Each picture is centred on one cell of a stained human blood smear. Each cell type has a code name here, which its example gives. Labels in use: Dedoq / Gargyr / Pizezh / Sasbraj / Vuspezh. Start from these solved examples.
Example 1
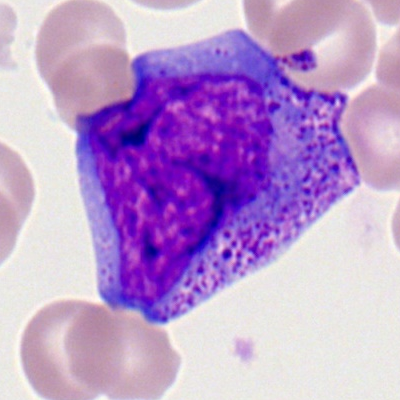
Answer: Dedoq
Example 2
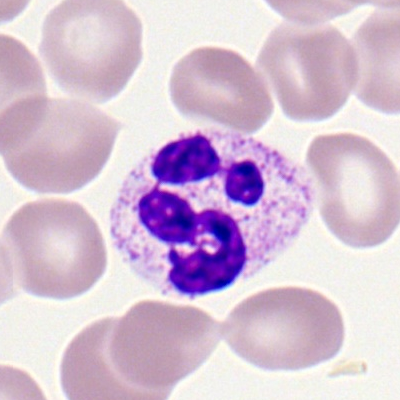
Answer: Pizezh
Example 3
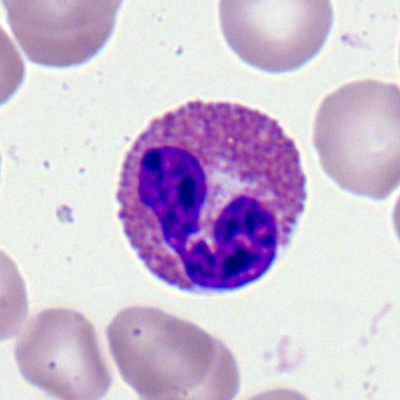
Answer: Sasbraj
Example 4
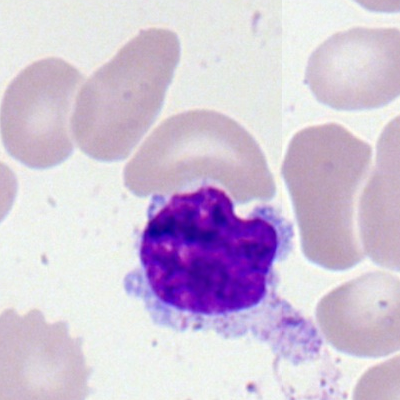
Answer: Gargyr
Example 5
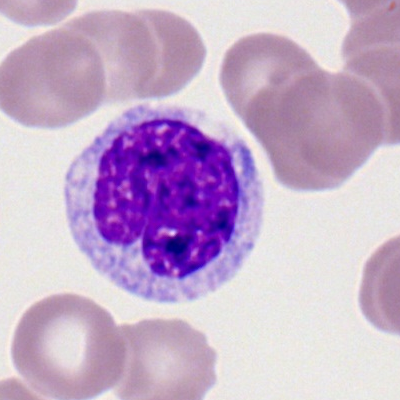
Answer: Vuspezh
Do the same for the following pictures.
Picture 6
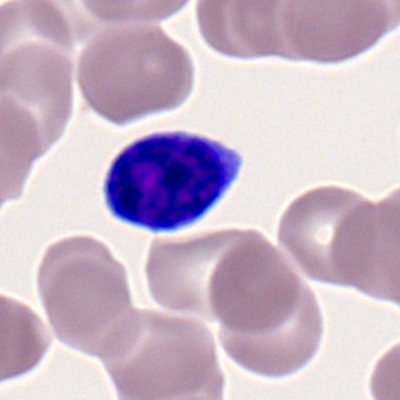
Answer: Gargyr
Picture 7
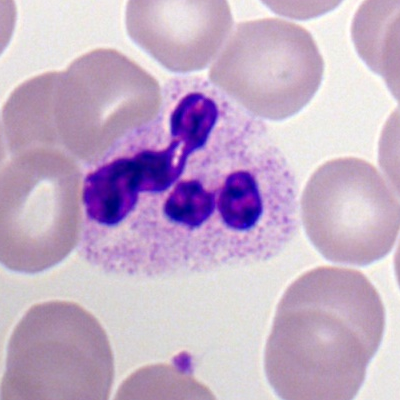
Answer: Pizezh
